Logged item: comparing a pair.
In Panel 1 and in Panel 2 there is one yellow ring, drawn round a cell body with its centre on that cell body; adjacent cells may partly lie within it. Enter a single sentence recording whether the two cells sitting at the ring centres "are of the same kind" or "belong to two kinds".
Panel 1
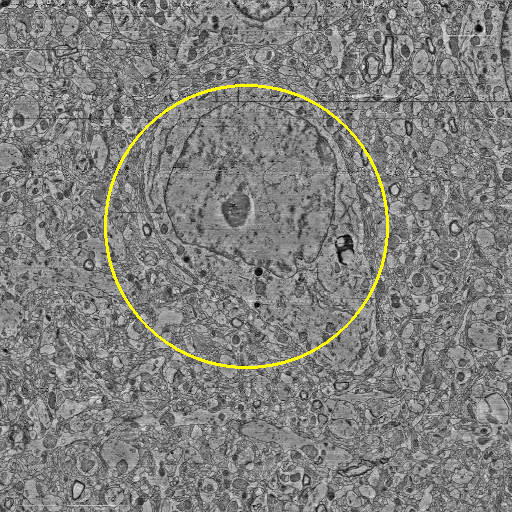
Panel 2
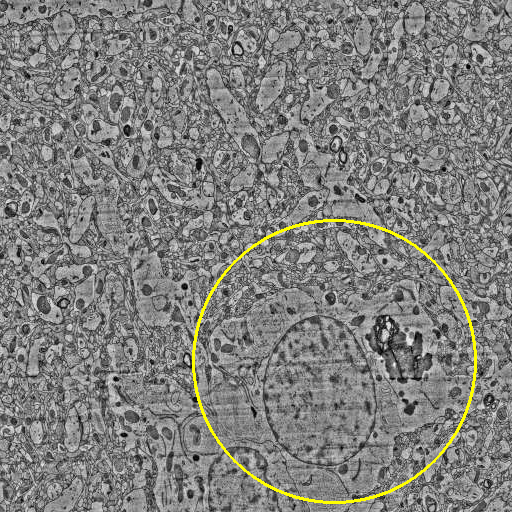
Logged: the cells centred in the rings of Panel 1 and Panel 2 belong to two kinds.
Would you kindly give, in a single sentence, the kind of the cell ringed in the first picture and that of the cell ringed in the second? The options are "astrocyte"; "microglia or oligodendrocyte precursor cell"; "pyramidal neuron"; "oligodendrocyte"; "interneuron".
The second cell is an astrocyte, and the first cell is a pyramidal neuron.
